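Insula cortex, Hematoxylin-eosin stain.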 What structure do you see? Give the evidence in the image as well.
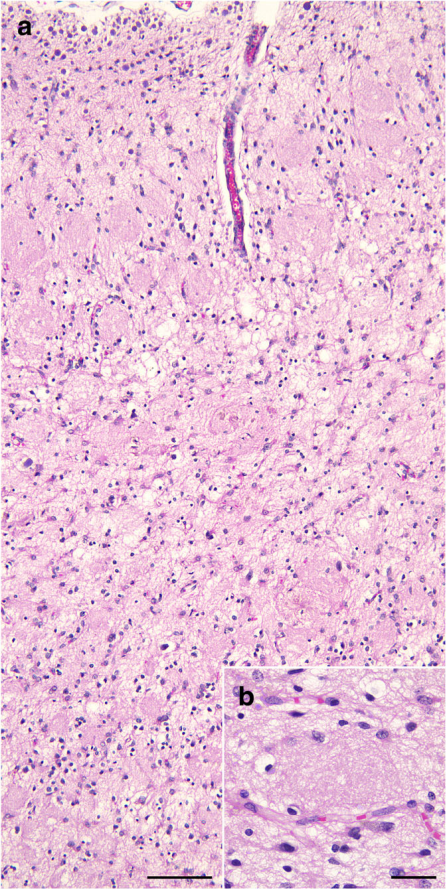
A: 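Many large, round, pale pink areas lie scattered through the tissue. The round areas are evenly stained and have no dense central core. Cells are pushed aside around the edges of the round areas.
Answer: cotton wool plaques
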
